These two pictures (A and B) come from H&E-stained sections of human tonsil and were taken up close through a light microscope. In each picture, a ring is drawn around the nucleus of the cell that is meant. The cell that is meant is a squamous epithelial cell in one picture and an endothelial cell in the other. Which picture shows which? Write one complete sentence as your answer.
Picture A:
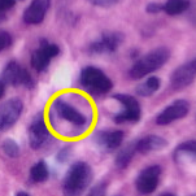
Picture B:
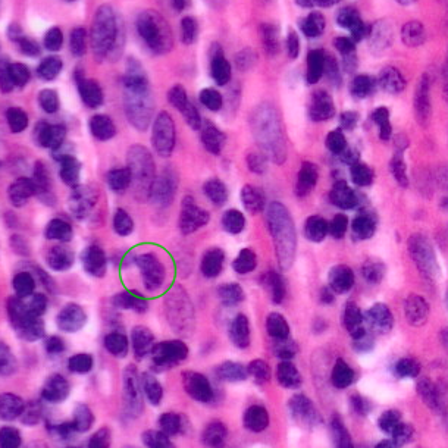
It is picture A that shows a squamous epithelial cell, and picture B that shows an endothelial cell.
